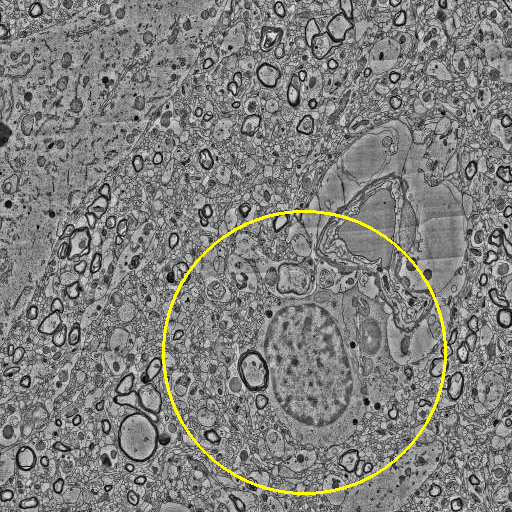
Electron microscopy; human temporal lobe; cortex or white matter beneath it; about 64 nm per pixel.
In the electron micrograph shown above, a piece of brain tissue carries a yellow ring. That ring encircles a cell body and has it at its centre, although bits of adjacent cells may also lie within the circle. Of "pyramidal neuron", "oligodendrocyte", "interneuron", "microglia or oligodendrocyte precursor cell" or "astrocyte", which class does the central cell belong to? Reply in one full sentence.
The cell body at the centre of the yellow ring belongs to an oligodendrocyte.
